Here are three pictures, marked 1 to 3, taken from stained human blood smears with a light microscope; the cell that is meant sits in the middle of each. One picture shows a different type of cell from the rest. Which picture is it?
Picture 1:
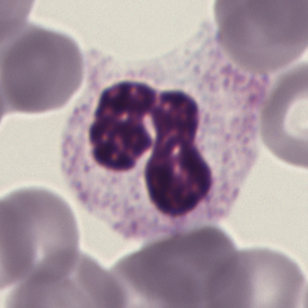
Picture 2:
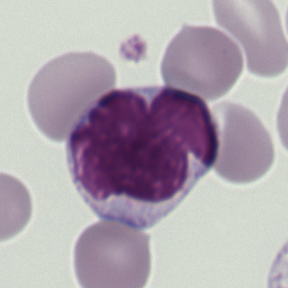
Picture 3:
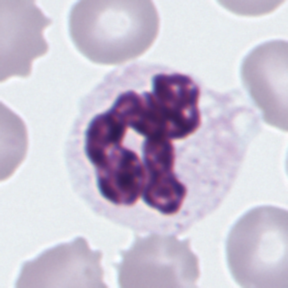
2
